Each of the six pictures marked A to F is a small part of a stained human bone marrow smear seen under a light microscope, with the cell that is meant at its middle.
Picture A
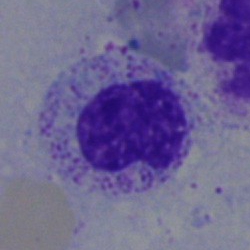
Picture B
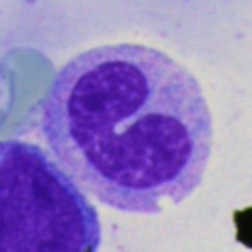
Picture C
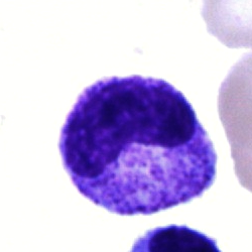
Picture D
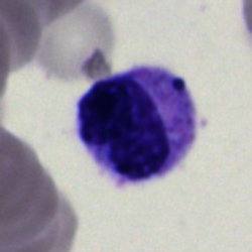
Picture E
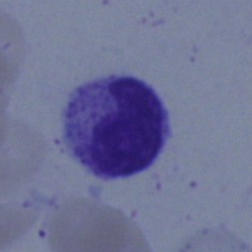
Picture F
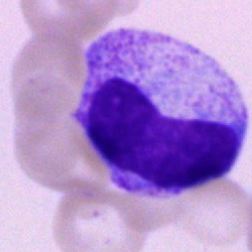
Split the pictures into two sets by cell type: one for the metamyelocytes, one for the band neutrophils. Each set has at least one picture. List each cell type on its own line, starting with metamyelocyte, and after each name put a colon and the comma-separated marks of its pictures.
metamyelocyte: A, D, E, F
band neutrophil: B, C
